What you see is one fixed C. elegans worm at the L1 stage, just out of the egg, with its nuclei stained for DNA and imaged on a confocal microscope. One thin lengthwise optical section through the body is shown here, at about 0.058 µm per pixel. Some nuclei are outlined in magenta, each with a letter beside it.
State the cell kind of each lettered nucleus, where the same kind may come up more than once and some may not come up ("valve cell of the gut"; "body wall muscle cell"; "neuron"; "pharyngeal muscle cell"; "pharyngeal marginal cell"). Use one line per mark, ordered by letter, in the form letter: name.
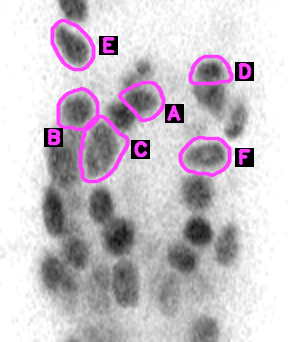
A: pharyngeal muscle cell
B: neuron
C: pharyngeal marginal cell
D: valve cell of the gut
E: neuron
F: pharyngeal muscle cell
